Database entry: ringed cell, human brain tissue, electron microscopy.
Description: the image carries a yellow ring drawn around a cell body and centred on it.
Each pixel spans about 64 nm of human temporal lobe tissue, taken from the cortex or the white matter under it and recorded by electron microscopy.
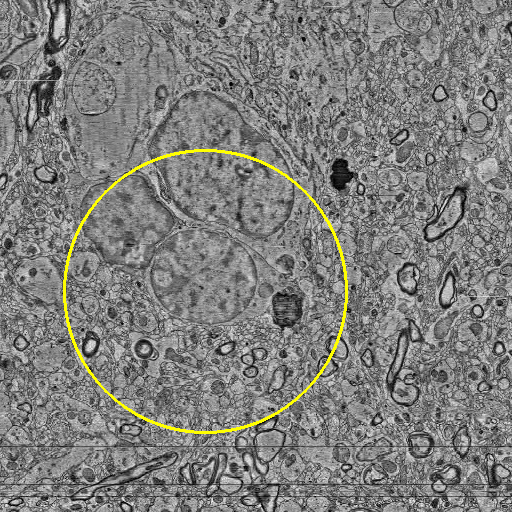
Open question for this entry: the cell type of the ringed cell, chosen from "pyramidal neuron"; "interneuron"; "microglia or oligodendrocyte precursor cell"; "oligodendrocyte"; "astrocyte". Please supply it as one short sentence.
The ringed cell is an oligodendrocyte.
